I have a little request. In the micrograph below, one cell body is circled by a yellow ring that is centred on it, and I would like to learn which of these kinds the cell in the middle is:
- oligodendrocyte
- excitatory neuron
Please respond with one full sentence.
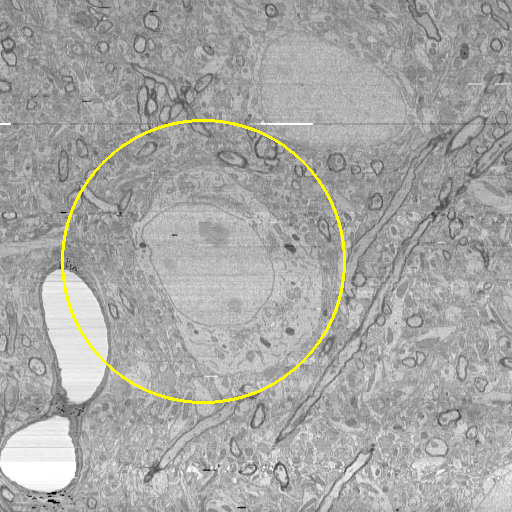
The cell sitting in the middle of the yellow ring in the micrograph is an excitatory neuron.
